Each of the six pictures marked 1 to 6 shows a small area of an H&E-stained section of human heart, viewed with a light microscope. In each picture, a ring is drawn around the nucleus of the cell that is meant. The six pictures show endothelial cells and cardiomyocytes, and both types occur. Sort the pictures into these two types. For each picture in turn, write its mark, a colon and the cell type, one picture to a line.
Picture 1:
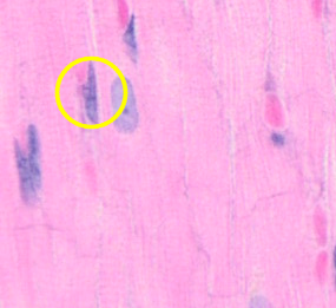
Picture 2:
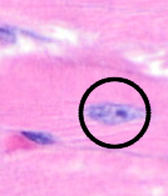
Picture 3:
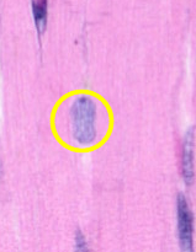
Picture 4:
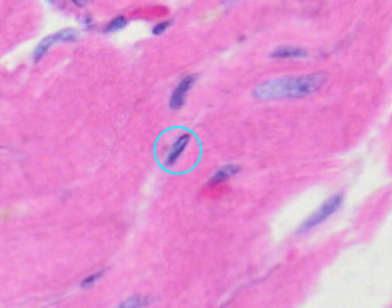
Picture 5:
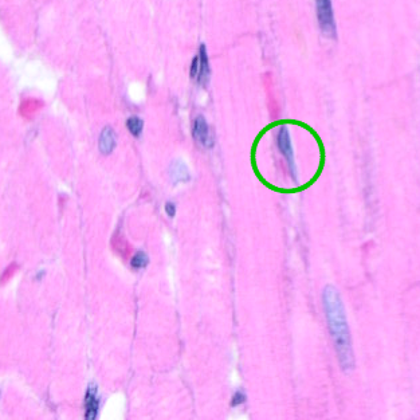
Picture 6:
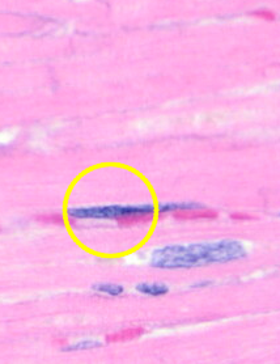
1: endothelial cell
2: cardiomyocyte
3: cardiomyocyte
4: endothelial cell
5: endothelial cell
6: endothelial cell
